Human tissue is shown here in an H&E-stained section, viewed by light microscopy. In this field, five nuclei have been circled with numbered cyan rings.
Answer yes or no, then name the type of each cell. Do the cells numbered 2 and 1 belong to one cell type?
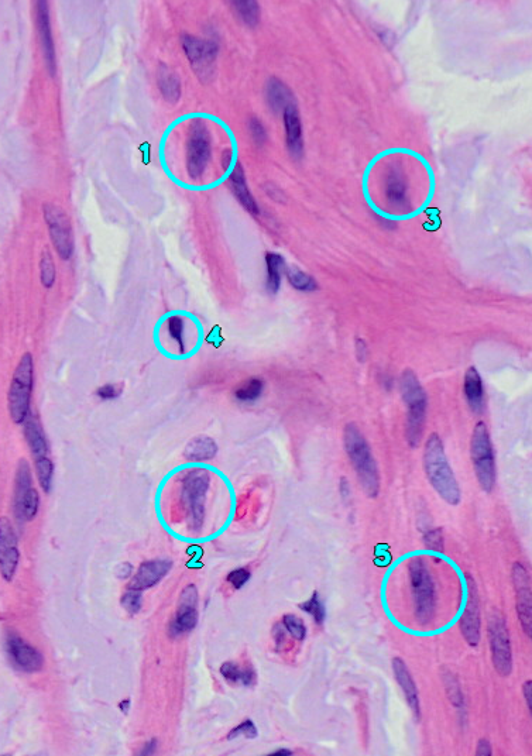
No, cell 2 is an endothelial cell and cell 1 is a smooth muscle cell.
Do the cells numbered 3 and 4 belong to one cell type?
No, cell 3 is a smooth muscle cell and cell 4 is a fibroblast.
